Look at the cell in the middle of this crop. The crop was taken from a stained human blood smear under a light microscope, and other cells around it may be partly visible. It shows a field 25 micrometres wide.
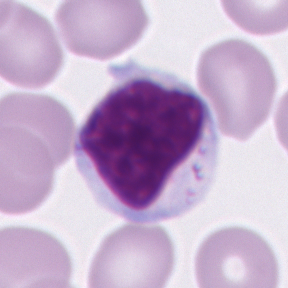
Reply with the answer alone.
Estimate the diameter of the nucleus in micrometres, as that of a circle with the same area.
10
